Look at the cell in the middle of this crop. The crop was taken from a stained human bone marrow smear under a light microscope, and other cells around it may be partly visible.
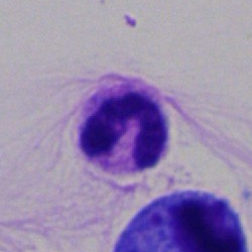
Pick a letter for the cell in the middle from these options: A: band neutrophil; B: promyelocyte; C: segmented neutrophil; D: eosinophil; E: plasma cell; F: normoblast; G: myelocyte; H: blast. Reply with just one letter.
C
